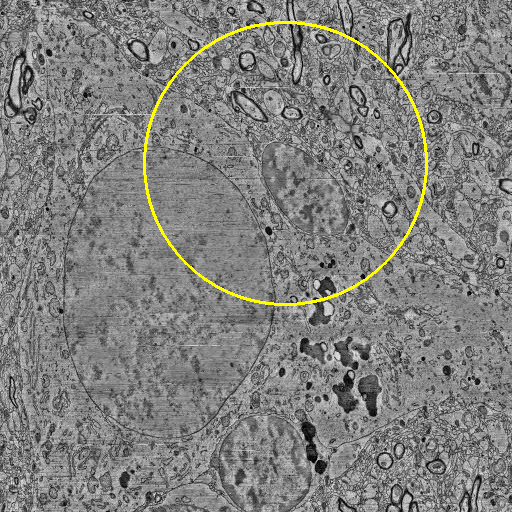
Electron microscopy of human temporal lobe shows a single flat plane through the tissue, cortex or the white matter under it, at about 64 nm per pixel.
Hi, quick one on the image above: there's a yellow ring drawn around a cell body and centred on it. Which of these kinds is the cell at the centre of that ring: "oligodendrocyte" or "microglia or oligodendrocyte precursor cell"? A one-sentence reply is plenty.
The cell at the centre of the ring is a microglial cell or oligodendrocyte precursor cell.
